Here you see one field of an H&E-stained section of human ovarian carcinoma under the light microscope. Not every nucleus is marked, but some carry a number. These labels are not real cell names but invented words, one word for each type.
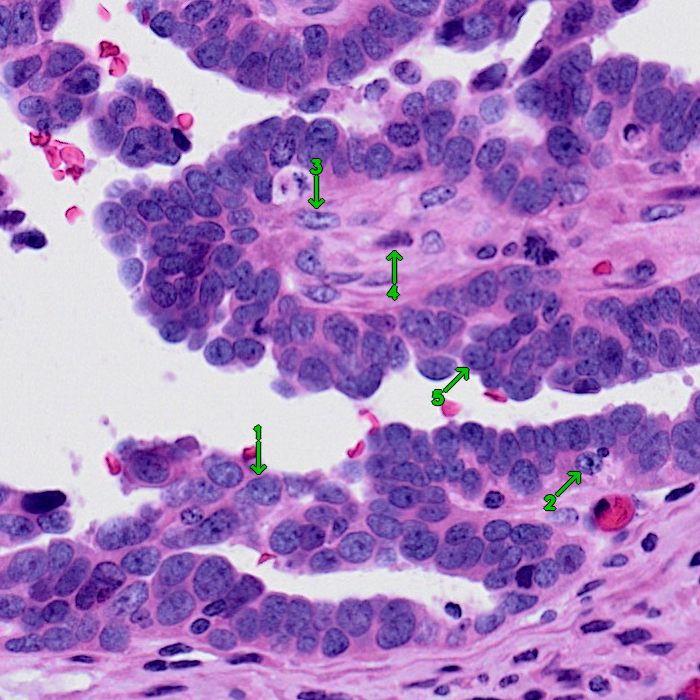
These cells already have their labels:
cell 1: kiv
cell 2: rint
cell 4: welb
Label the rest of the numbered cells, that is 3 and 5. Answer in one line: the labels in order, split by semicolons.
welb; kiv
